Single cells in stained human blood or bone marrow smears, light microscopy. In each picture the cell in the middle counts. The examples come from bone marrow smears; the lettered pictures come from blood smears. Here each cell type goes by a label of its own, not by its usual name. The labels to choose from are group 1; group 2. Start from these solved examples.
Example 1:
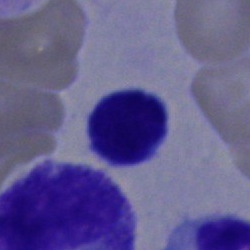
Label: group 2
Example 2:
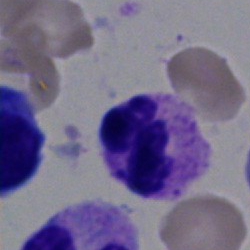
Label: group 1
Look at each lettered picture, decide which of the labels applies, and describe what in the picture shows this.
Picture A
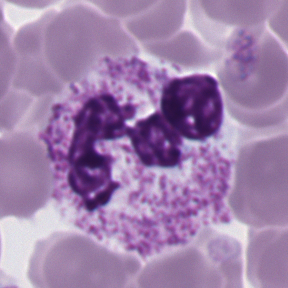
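group 1. Numerous granules fill the cytoplasm right out to the cell edge.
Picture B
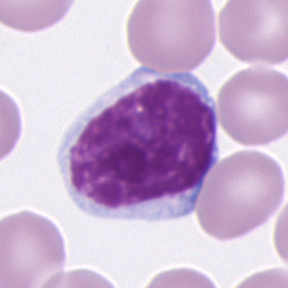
group 2. The cytoplasm forms only a narrow rim around the nucleus.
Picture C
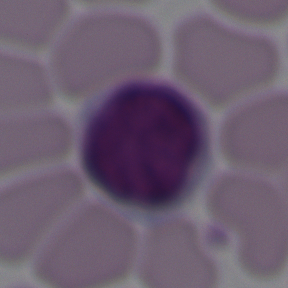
group 2. Only a very thin rim of cytoplasm shows around the nucleus.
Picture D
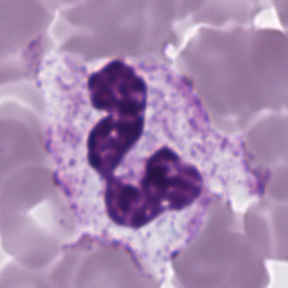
group 1. The cytoplasm is abundant and very pale.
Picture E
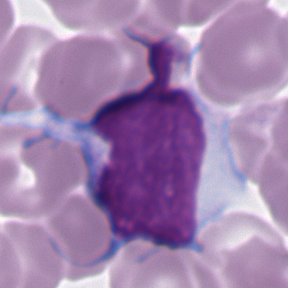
group 2. The nucleus fills most of the cell.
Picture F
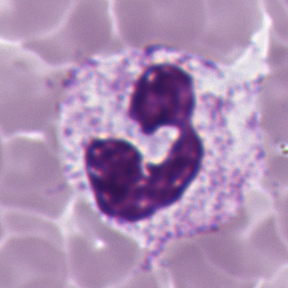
group 1. The cytoplasm is plentiful and very pale.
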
